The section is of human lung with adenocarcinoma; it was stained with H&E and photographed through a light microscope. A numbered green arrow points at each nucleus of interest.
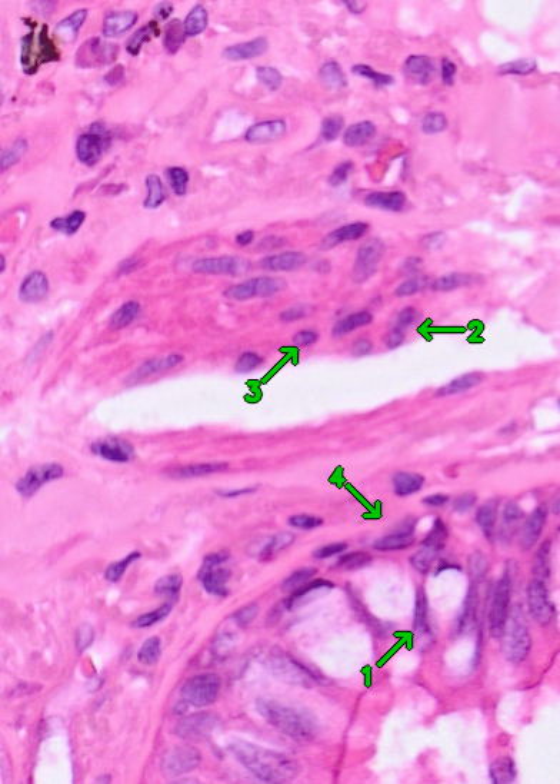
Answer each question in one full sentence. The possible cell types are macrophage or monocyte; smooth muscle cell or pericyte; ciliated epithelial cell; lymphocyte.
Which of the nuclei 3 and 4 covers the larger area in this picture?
It is nucleus 4, which covers about 2.5 times the area of nucleus 3.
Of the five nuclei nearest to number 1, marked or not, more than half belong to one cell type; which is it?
Most of the five nuclei nearest to number 1 are those of ciliated epithelial cells.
